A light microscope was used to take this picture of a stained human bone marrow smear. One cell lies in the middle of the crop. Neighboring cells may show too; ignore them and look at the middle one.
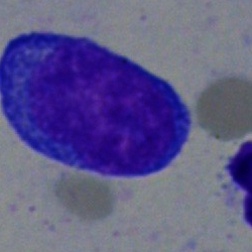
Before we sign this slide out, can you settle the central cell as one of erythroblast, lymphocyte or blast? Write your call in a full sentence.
The cell at the centre of the field is a blast.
